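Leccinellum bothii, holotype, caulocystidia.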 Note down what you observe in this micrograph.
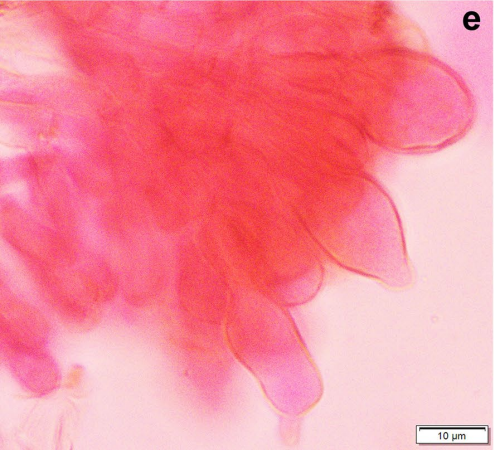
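From a dense tangled mass of hyphae, large, smooth, thin-walled terminal cells project outward. They are swollen, clavate to broadly fusiform, some with a tapering tip and others rounded.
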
